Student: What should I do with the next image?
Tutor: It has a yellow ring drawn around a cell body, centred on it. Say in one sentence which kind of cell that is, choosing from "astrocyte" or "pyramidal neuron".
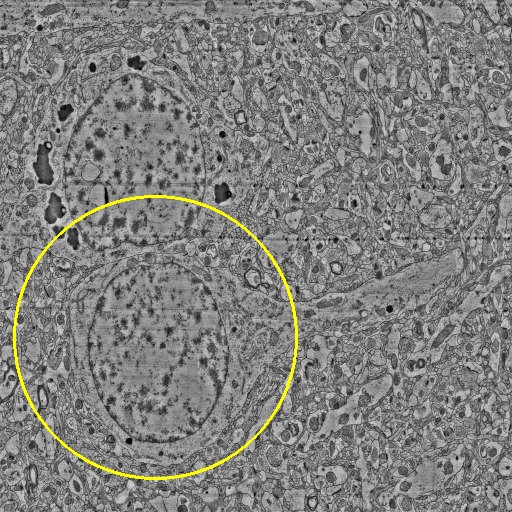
The ring's centre is occupied by a pyramidal neuron.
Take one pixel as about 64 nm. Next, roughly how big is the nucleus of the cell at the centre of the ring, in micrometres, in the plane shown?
Roughly 12 by 9 micrometres in this plane, for the nucleus of the ringed cell.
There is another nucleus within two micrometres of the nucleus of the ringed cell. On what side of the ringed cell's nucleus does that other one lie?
The second nucleus is above it.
